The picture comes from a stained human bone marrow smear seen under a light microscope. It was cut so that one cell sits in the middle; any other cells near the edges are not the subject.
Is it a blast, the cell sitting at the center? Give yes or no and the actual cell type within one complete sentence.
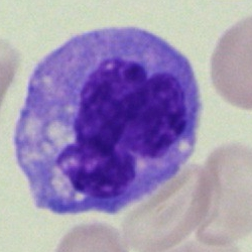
No, the cell in the middle of the crop counts as a monocyte and not as a blast.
